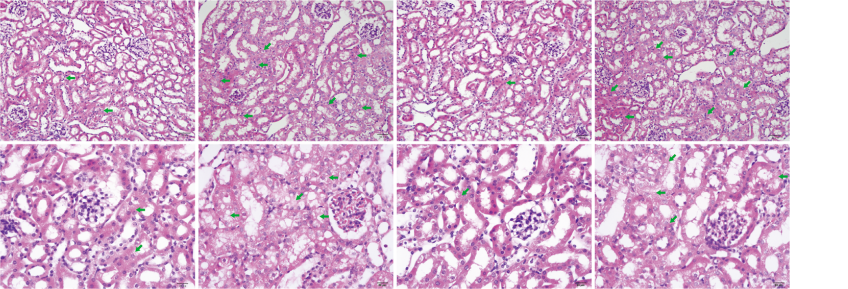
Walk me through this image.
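Kidney cortex stained with hematoxylin and eosin, shown at lower and higher magnification in several fields. Round glomeruli, dense with purple nuclei and surrounded by a clear space, lie among many cross-sectioned and oblique tubules. The tubules are lined by epithelial cells with pink cytoplasm and small purple nuclei. In several fields the tubular epithelium looks pale, swollen and vacuolated, and some lumina are narrowed or filled with pale material. Green arrows point to affected tubules.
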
